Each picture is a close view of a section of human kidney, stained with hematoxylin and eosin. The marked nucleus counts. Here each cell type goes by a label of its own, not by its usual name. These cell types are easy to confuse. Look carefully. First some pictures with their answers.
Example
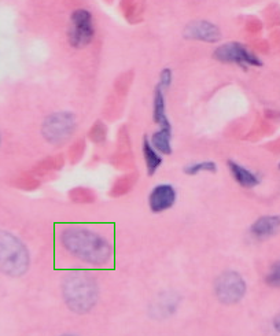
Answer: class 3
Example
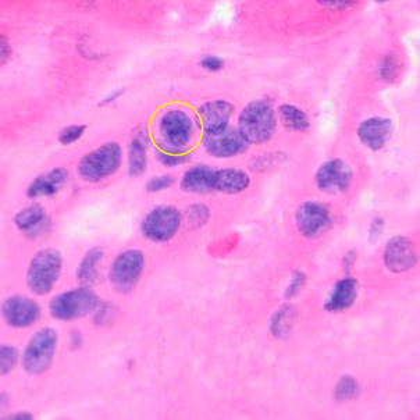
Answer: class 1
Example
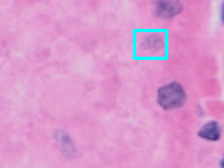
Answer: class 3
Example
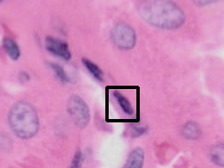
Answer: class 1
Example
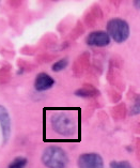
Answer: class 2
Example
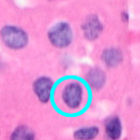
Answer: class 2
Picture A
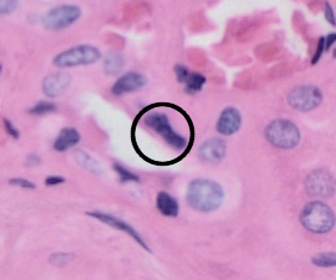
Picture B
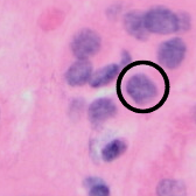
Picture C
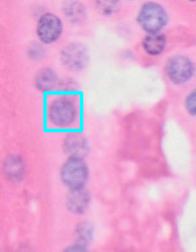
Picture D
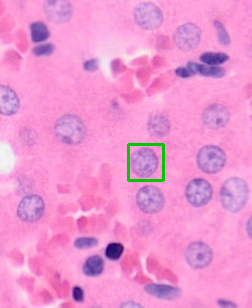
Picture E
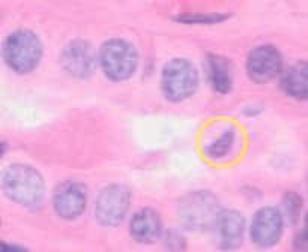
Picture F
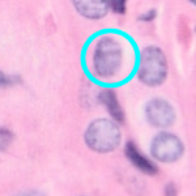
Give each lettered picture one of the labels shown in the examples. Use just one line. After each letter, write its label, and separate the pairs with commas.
A class 1, B class 1, C class 1, D class 3, E class 1, F class 1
